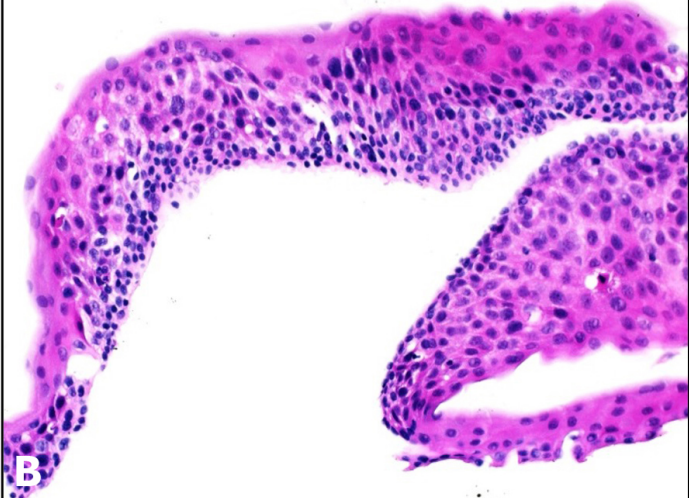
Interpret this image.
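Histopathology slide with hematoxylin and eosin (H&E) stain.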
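Detached strips of thickened stratified epithelium show cells with dysplastic features. The epithelium is many cell layers thick. Along one edge the cells are small and tightly packed, with dark purple, oval to elongated nuclei. Toward the other surface the cells become larger, with more pink cytoplasm and rounder, paler nuclei, some with visible nucleoli. Nuclei differ in size and shape from cell to cell and are crowded irregularly, so the normal orderly layering from base to surface is disturbed. The outermost surface forms a thin pink rim. No underlying stroma is attached in this view.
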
